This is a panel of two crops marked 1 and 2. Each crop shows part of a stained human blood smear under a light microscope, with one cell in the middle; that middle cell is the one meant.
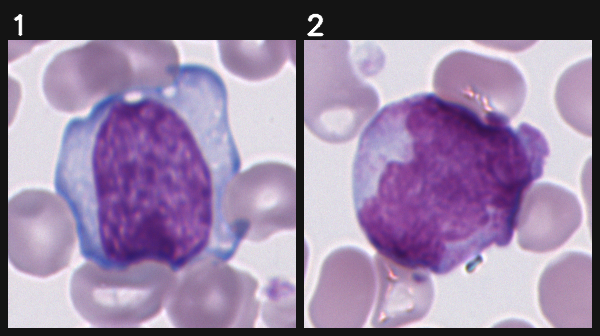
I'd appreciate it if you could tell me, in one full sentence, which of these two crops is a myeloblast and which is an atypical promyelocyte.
The cell centred in crop 1 is a myeloblast, while the one centred in crop 2 is an atypical promyelocyte.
